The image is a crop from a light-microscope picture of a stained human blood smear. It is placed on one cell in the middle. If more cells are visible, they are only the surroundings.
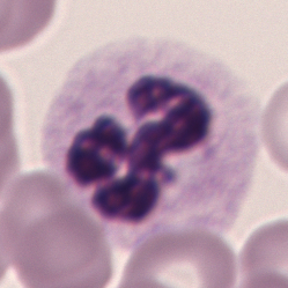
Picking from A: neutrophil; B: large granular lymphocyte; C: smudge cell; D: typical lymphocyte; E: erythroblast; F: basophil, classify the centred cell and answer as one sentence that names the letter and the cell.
The middle of the crop contains a neutrophil, so option A is right.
